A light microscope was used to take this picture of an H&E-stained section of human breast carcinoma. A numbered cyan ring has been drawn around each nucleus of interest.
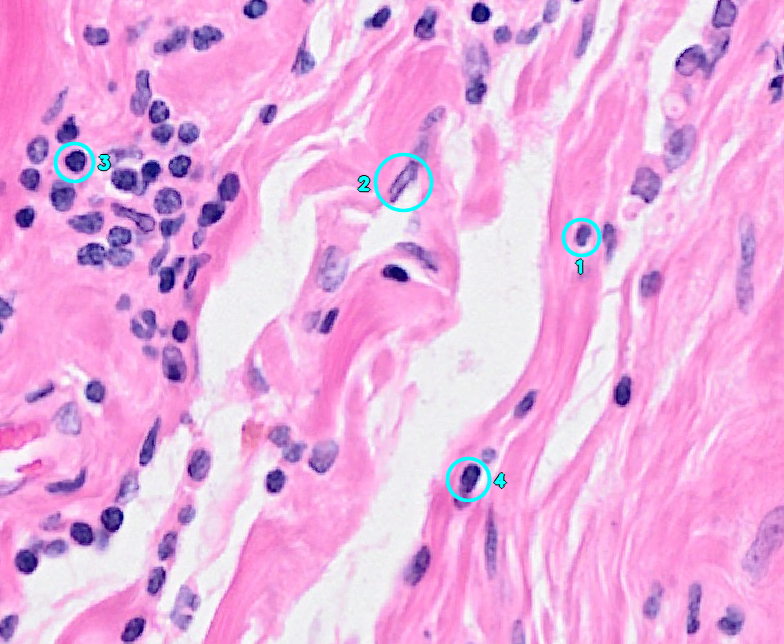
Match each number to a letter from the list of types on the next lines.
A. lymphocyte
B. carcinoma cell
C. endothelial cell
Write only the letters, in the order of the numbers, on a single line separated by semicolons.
A; C; A; A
